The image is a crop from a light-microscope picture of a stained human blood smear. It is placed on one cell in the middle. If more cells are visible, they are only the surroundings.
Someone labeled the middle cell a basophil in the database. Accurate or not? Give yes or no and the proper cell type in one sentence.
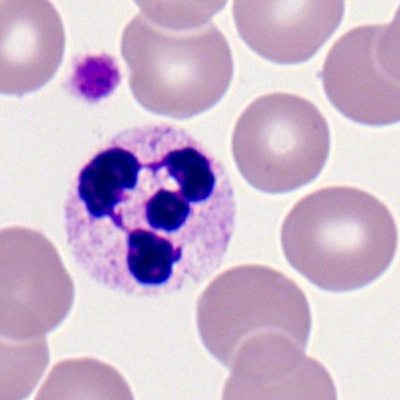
No, wrong label: the middle cell is a neutrophil instead of a basophil.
